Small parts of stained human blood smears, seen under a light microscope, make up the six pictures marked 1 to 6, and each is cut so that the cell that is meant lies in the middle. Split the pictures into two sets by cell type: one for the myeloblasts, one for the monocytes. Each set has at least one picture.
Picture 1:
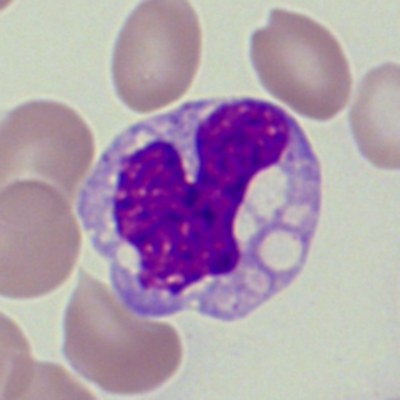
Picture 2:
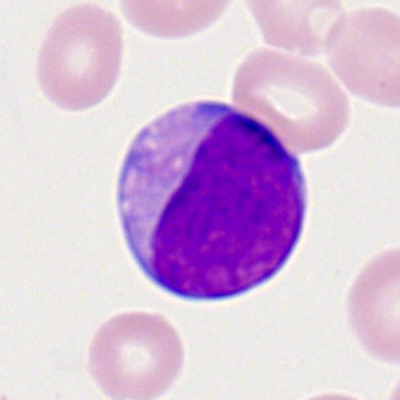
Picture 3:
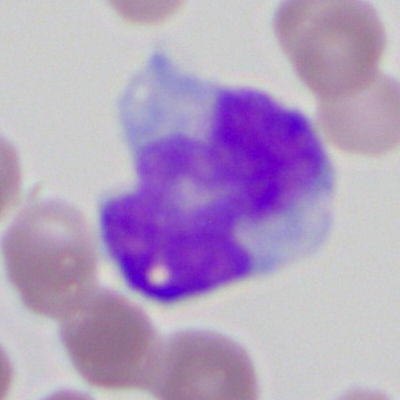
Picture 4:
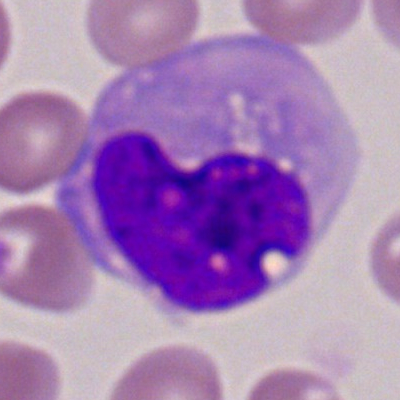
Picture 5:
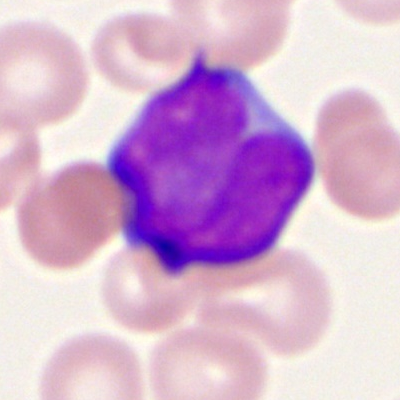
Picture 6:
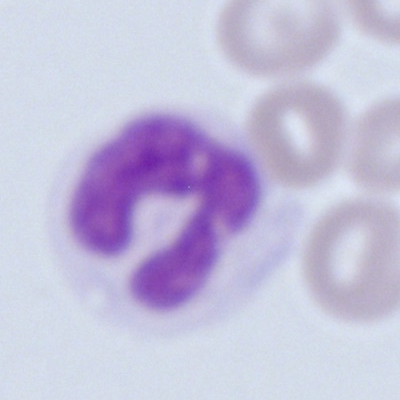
1: monocyte
2: myeloblast
3: monocyte
4: monocyte
5: myeloblast
6: monocyte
